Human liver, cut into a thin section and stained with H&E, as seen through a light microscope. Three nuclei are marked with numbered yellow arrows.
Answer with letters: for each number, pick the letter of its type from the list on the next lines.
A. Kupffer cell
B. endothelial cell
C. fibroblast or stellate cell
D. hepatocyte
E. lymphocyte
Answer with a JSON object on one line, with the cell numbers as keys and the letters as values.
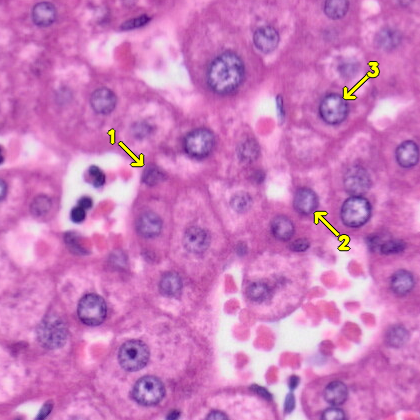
{"1": "B", "2": "D", "3": "D"}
